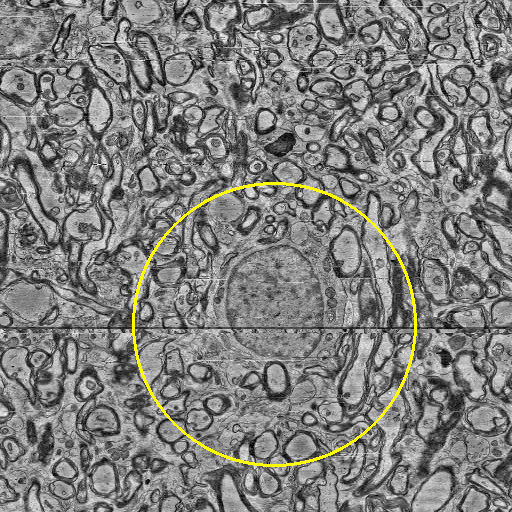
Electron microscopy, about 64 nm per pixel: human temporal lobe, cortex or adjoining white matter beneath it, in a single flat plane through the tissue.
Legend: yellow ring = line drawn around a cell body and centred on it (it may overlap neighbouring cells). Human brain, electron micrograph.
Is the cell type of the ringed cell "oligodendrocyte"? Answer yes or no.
yes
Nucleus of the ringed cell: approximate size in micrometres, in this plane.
Roughly 8 micrometres by 6 micrometres, in this plane.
